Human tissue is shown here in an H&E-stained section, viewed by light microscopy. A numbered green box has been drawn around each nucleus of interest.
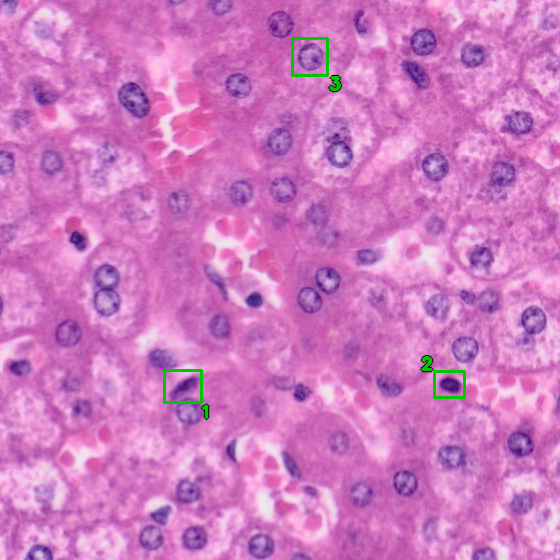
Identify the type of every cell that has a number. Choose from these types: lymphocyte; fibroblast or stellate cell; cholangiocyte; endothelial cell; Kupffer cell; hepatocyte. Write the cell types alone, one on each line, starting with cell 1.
fibroblast or stellate cell
lymphocyte
hepatocyte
